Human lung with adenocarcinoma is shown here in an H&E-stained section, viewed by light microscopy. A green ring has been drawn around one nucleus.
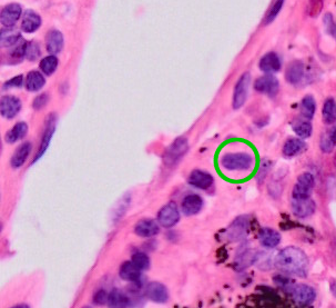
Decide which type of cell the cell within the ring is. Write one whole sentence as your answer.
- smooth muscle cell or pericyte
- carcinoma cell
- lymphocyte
Speaking plainly, the cell within the ring is nothing other than a lymphocyte.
